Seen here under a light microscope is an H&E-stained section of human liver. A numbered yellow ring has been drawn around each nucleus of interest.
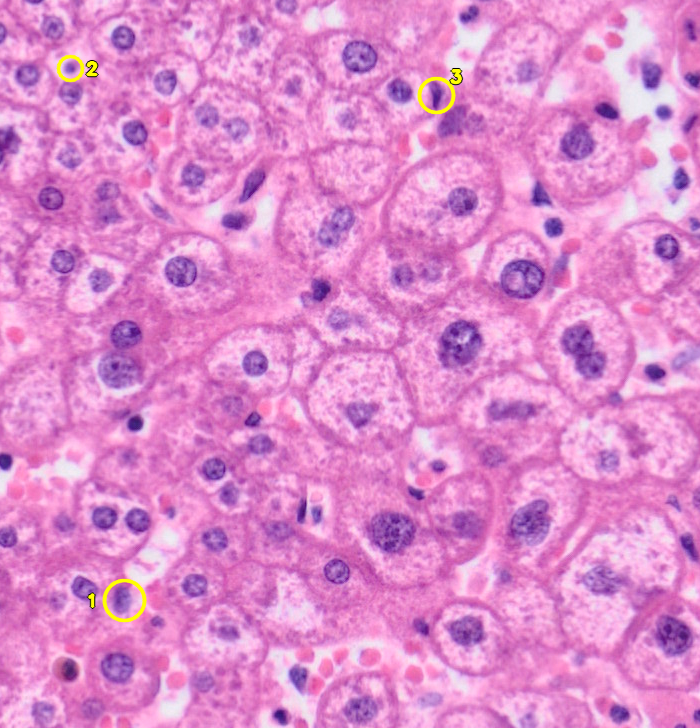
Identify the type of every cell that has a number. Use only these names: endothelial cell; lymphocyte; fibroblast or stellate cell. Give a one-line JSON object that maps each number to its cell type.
{"1": "endothelial cell", "2": "lymphocyte", "3": "fibroblast or stellate cell"}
